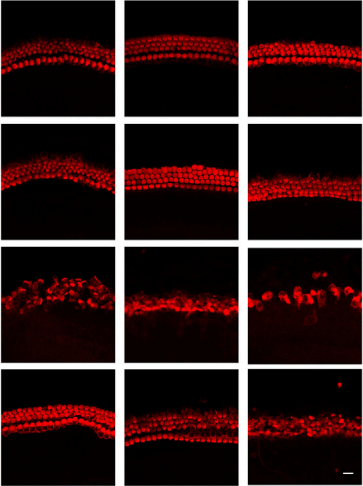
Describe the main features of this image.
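This is a grid of fluorescent views of cochlear hair cells, whose round cell bodies stain red along narrow strips of the organ at three positions. In most rows of images the cells form orderly parallel rows, with a single row lying beside a tightly packed band of three rows. In one row of images the rows are broken up, with far fewer red cells left and those remaining scattered and irregular in shape.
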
